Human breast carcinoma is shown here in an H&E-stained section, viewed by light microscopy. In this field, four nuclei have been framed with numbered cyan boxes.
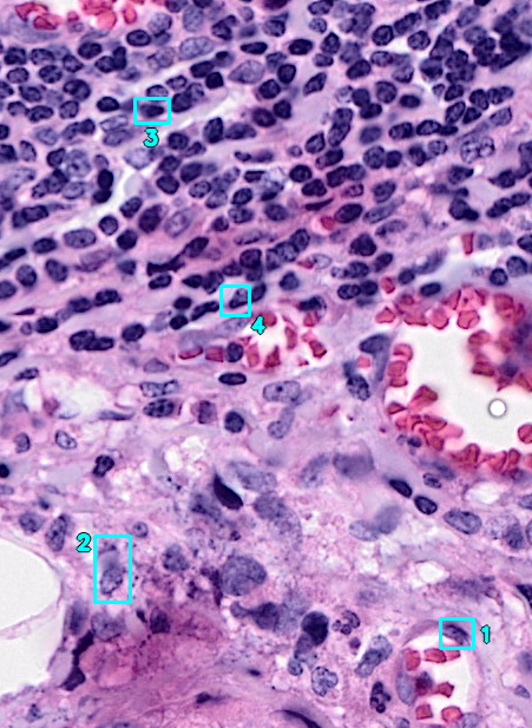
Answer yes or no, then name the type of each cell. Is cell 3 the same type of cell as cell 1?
No; cell 3 is a lymphocyte, whereas cell 1 is an endothelial cell.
